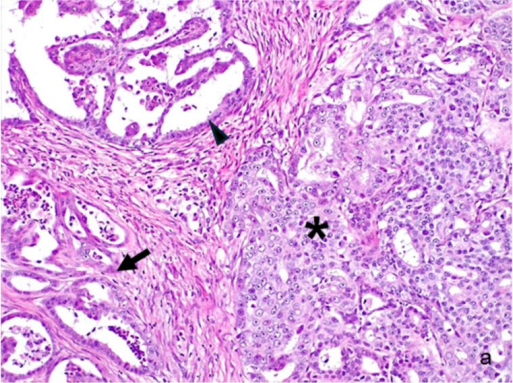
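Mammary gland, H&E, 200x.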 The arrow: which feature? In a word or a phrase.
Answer: tubular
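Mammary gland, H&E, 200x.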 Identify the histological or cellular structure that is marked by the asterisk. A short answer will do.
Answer: Solid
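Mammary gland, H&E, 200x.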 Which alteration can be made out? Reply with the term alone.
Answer: Marked desmoplasia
